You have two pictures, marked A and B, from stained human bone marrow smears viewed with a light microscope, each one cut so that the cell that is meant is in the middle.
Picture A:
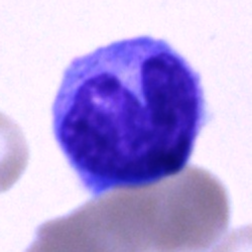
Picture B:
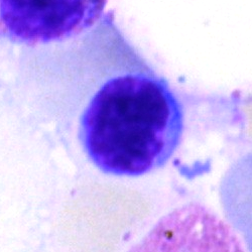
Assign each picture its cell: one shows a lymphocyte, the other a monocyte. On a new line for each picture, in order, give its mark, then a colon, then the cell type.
A: monocyte
B: lymphocyte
